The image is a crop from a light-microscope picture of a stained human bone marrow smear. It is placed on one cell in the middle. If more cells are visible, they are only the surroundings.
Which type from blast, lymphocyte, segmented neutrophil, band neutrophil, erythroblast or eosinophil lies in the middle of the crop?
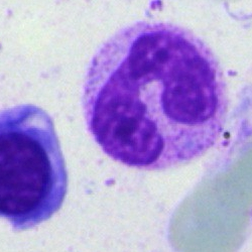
band neutrophil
